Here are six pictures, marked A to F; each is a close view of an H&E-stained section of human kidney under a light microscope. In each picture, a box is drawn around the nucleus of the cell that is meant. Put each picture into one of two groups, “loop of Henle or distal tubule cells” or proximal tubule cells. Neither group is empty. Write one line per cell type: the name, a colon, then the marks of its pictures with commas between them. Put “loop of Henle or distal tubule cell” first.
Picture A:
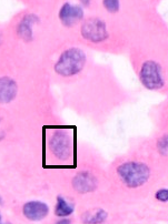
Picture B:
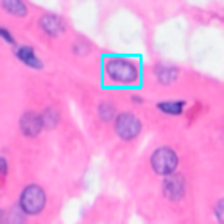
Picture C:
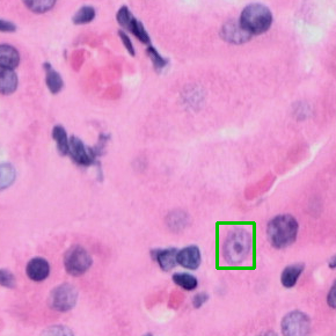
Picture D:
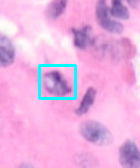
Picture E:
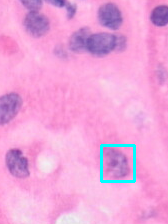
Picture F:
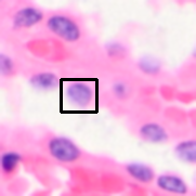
loop of Henle or distal tubule cell: A, B, D, F
proximal tubule cell: C, E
